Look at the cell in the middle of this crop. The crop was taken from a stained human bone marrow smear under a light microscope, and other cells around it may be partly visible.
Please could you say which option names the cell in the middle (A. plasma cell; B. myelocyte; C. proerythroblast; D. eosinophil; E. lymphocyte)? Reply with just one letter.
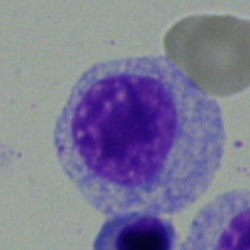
B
